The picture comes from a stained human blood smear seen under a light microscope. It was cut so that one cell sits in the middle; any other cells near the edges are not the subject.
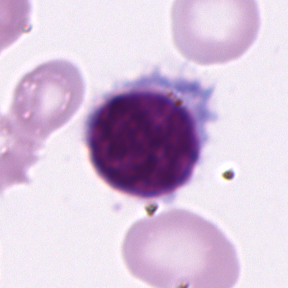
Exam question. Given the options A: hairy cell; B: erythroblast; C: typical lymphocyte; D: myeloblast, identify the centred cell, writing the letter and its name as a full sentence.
Option A is accurate; the centrally placed cell is a hairy cell.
